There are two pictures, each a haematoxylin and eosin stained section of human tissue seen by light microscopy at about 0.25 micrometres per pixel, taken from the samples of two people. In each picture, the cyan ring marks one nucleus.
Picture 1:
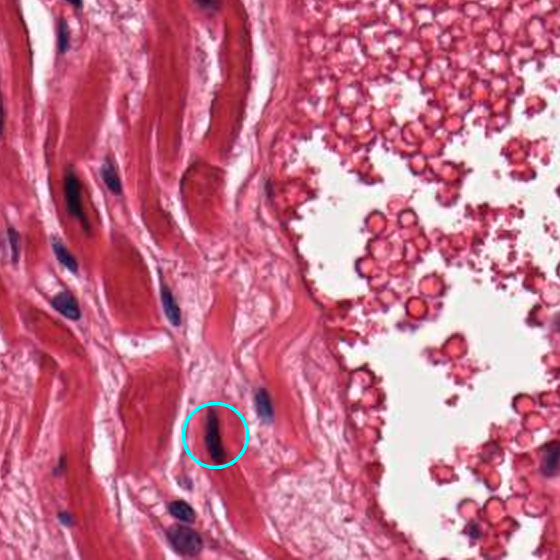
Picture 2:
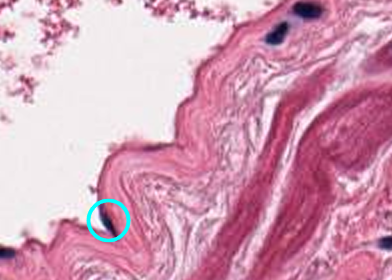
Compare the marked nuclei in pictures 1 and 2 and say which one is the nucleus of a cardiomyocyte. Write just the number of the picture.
1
